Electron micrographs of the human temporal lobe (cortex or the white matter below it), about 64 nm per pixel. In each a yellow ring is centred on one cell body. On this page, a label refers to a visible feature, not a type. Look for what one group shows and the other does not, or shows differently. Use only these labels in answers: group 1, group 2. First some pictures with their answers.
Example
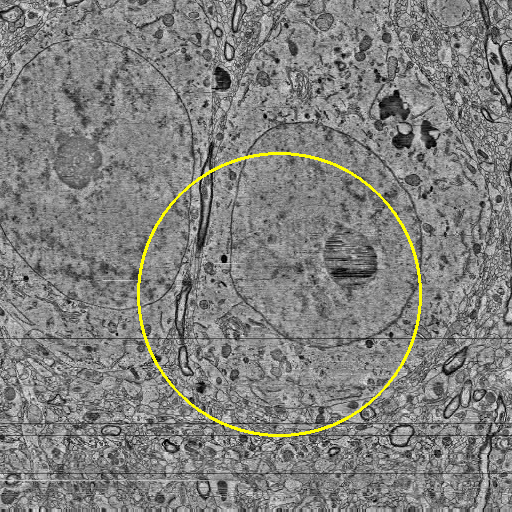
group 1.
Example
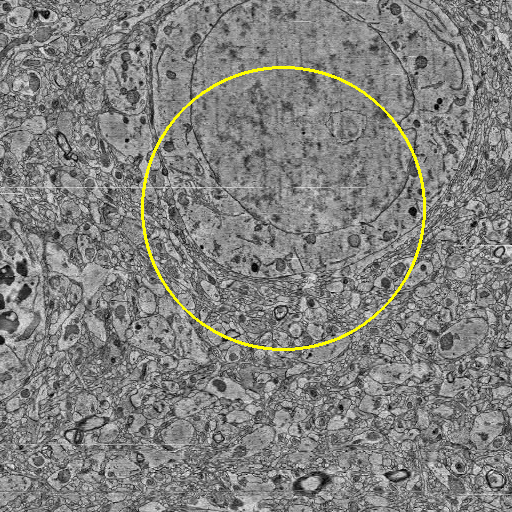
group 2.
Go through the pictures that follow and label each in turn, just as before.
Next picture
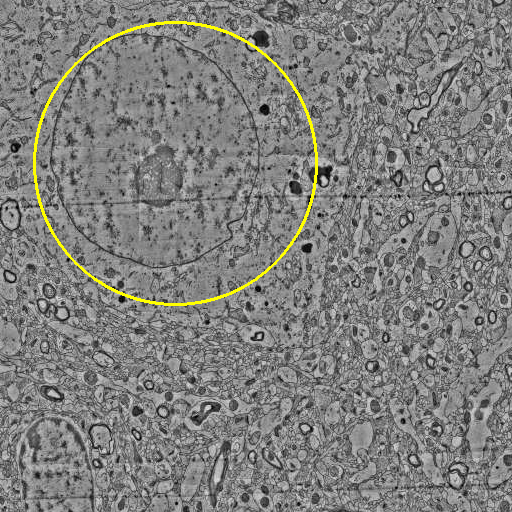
group 1.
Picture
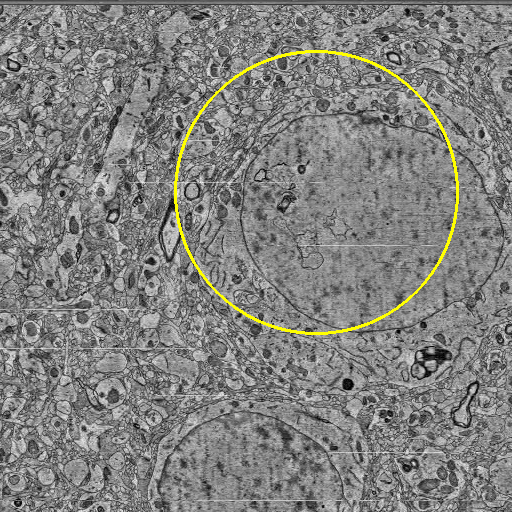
group 2.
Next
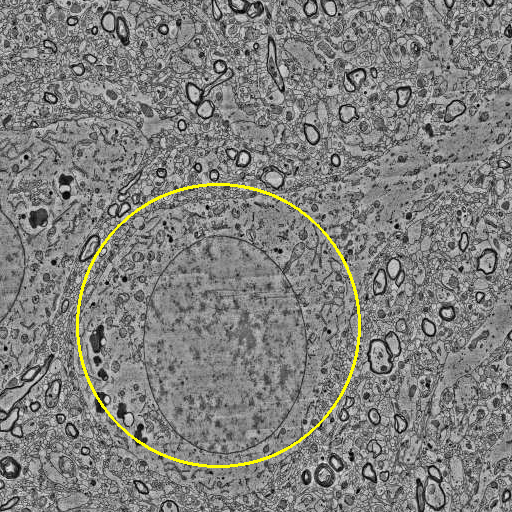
group 2.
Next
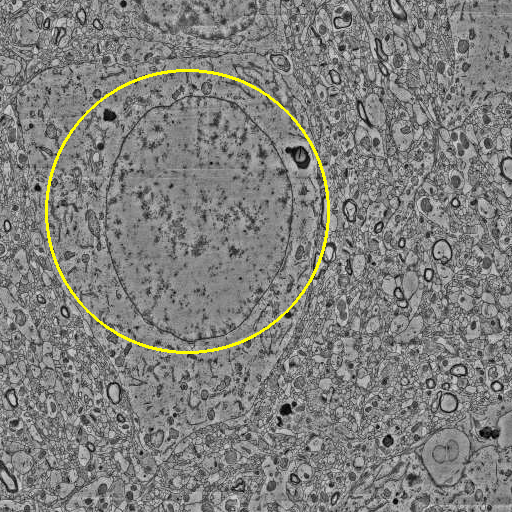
group 2.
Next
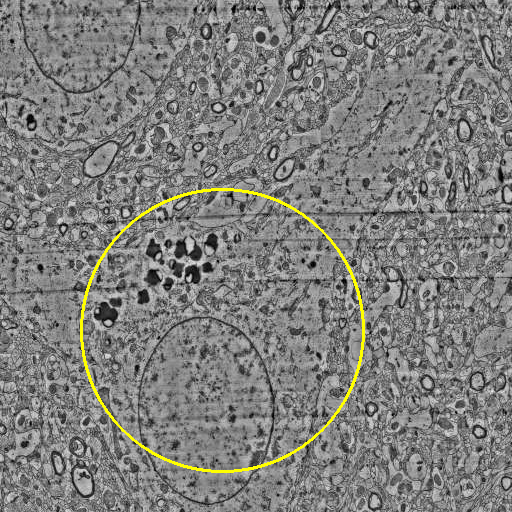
group 2.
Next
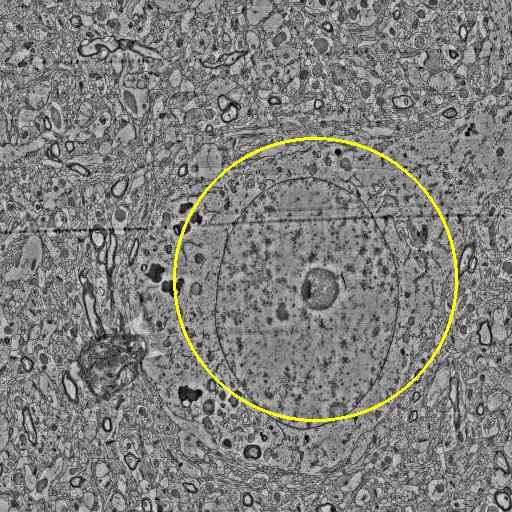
group 1.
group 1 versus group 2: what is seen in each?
In group 1: nucleolus seen. In group 2: no nucleolus seen.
